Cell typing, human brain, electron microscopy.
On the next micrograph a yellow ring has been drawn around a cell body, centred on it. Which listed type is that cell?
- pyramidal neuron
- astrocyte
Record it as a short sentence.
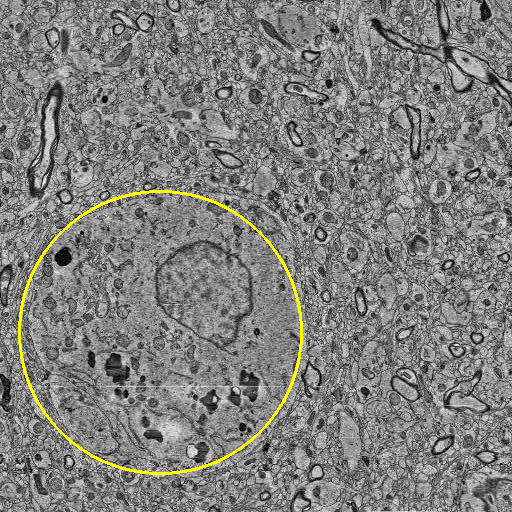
The cell body in the ring's centre belongs to a pyramidal neuron.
